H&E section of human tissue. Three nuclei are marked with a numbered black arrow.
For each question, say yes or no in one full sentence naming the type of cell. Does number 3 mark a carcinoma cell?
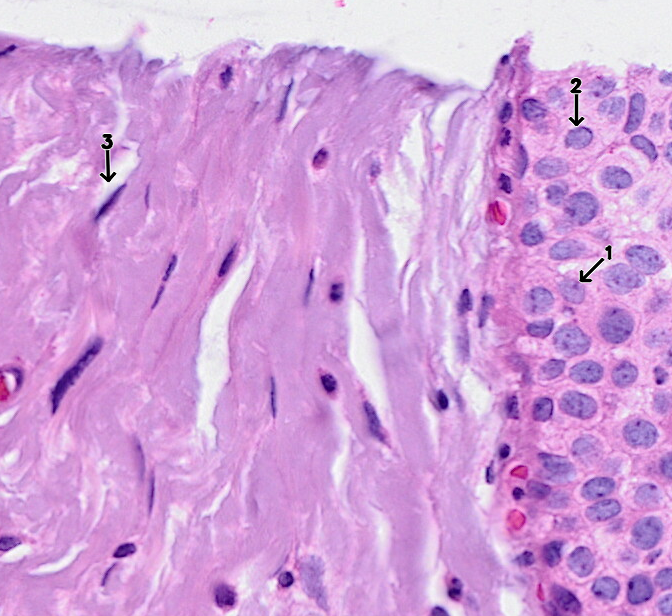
No, calling cell 3 a carcinoma cell is a mistake; it is a fibroblast.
